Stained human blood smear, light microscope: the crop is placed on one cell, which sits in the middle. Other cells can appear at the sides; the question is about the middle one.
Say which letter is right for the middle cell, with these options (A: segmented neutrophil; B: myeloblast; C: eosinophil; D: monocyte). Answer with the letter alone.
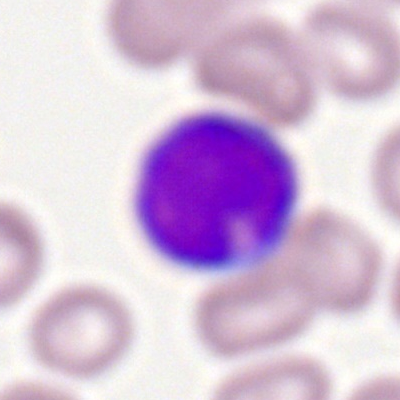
B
